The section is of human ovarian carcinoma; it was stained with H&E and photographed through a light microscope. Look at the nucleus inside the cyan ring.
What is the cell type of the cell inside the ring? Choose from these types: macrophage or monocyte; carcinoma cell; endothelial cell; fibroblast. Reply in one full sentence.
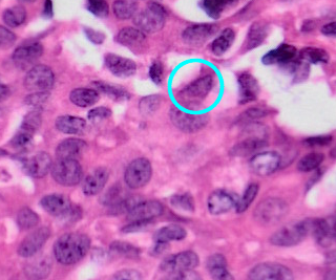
Speaking plainly, the cell inside the ring is nothing other than a carcinoma cell.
